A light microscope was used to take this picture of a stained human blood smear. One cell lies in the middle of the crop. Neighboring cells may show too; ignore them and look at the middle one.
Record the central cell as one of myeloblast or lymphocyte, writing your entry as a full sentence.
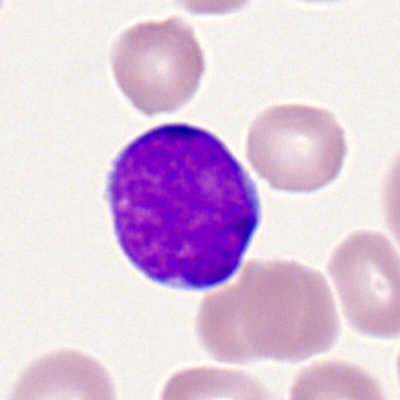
Seen at the centre of the crop is a myeloblast.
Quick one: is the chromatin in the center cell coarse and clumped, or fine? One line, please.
Take a look at the chromatin, which is coarsely clumped.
